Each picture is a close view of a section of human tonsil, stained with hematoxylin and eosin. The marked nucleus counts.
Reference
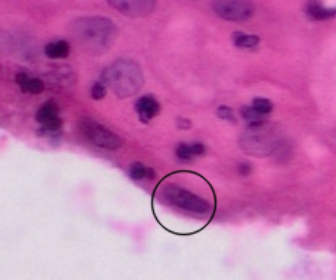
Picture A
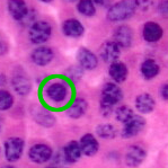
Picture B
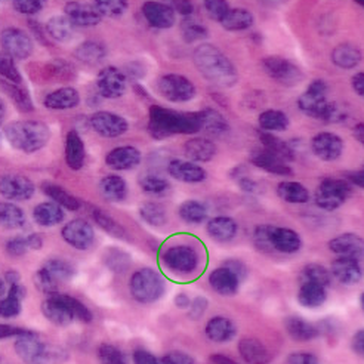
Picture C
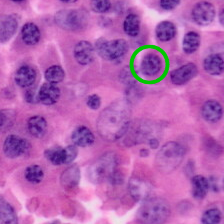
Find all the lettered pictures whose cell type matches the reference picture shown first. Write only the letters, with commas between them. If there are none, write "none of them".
none of them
